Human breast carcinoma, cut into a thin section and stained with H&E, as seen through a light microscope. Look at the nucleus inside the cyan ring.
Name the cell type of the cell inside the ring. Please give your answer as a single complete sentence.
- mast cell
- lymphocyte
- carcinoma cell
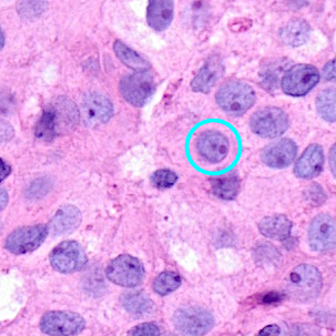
As classified here, the cell inside the ring is a carcinoma cell.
